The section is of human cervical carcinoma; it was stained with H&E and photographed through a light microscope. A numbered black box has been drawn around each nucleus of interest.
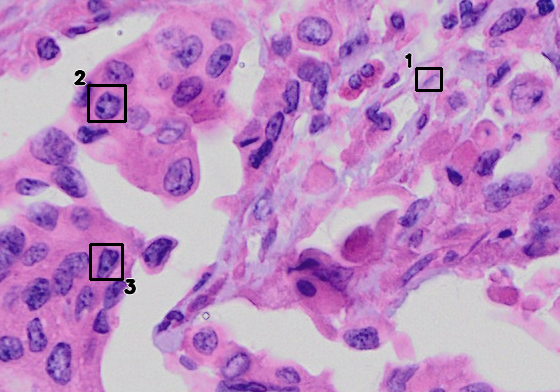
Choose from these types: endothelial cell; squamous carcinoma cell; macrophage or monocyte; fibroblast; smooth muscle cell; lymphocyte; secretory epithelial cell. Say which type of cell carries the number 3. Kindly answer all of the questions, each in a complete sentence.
Recognised here as a squamous carcinoma cell is the cell numbered 3.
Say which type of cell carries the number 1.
Denoted by the label 1 in the section is a fibroblast.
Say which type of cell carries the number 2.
Cell 2 should be recorded as a squamous carcinoma cell.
